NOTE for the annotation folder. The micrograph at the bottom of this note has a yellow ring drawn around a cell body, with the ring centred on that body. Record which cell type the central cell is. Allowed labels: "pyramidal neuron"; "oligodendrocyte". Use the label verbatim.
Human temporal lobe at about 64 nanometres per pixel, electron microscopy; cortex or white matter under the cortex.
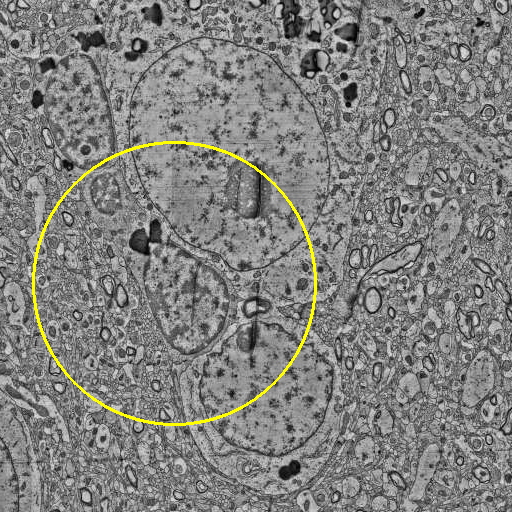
oligodendrocyte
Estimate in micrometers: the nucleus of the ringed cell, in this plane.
The nucleus is approximately 7 micrometers long by 5 micrometers wide in this plane.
